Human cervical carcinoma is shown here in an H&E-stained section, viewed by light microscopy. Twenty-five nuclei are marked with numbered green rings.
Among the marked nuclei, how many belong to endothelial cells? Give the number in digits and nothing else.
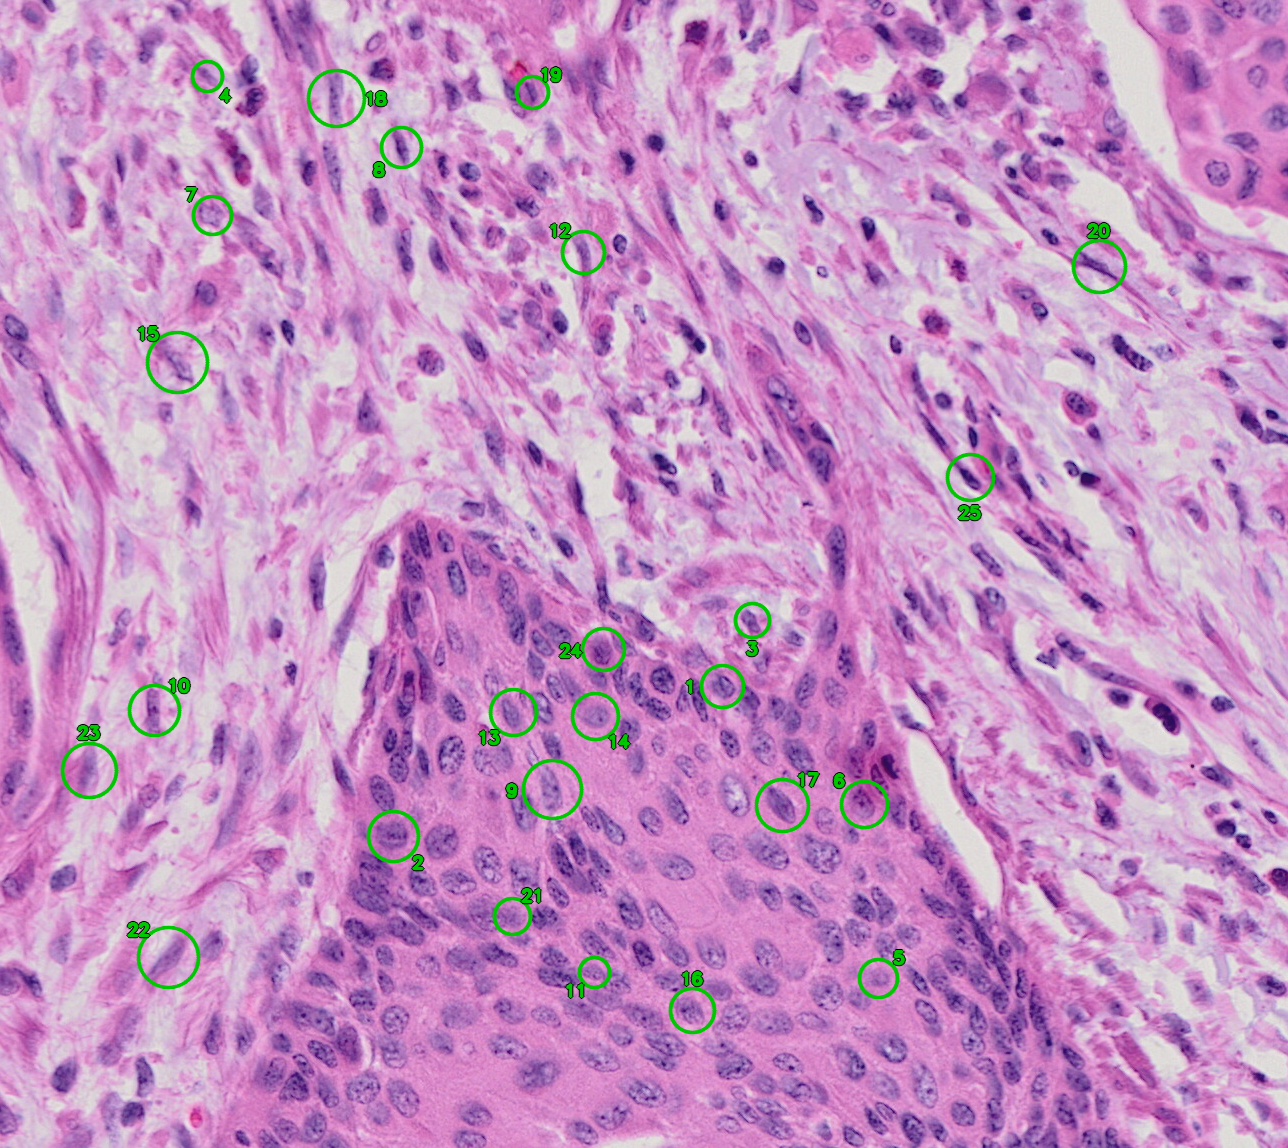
1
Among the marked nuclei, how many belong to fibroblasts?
11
